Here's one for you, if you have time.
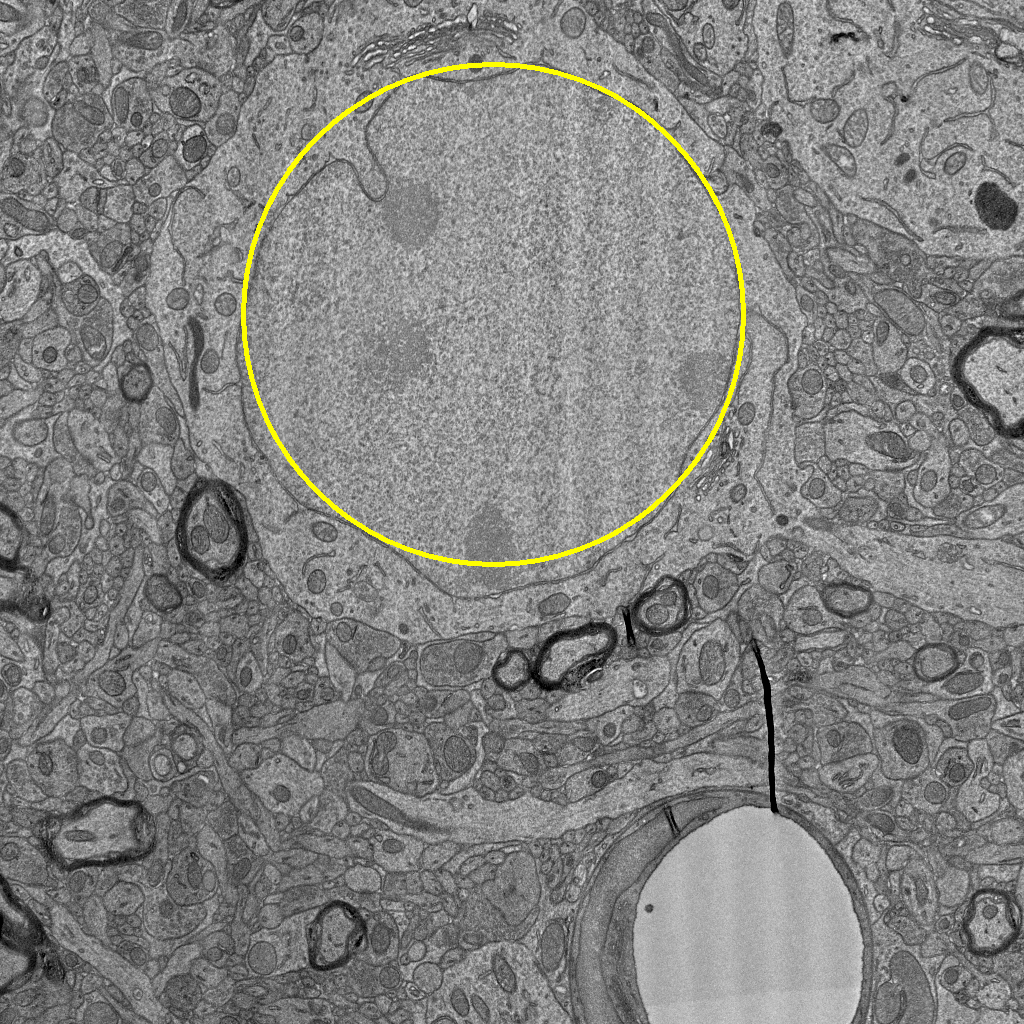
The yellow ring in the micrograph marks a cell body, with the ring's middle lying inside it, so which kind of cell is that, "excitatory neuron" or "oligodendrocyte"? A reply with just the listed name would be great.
excitatory neuron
